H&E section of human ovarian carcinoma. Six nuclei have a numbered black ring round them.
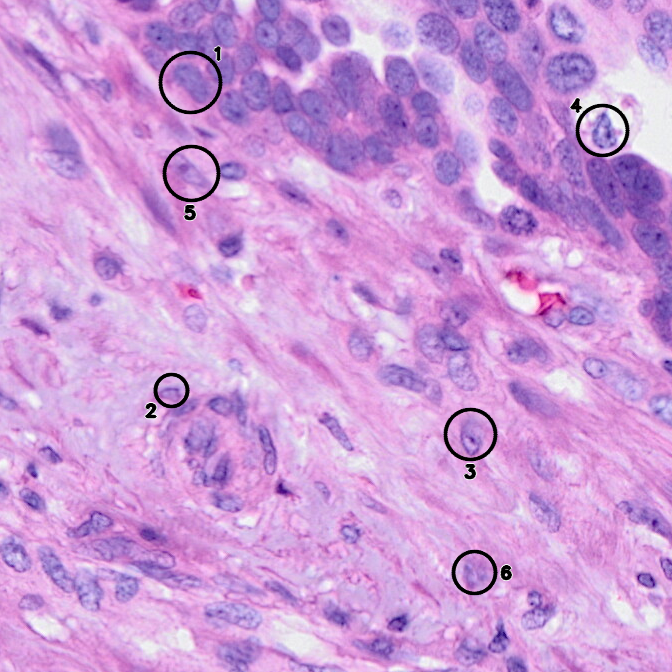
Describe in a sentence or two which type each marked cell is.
Cell 1 is a carcinoma cell. Cells 2, 3, 5 and 6 are fibroblasts. Cell 4 is a macrophage or monocyte.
